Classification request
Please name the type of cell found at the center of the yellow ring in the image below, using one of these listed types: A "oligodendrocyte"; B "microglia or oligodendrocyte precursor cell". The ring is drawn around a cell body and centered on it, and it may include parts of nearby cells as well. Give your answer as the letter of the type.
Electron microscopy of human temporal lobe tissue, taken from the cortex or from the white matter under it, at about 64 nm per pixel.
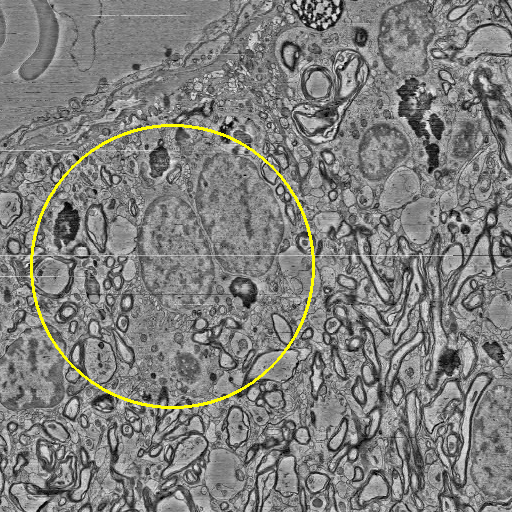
A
